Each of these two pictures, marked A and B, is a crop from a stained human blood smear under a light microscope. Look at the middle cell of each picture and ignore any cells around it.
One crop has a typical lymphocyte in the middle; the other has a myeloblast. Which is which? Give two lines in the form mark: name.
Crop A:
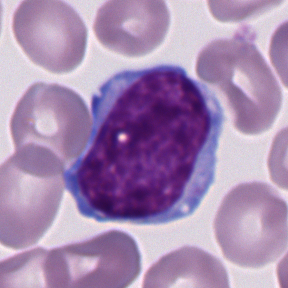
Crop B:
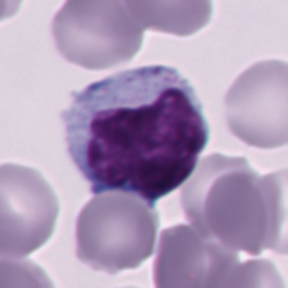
A: myeloblast
B: typical lymphocyte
